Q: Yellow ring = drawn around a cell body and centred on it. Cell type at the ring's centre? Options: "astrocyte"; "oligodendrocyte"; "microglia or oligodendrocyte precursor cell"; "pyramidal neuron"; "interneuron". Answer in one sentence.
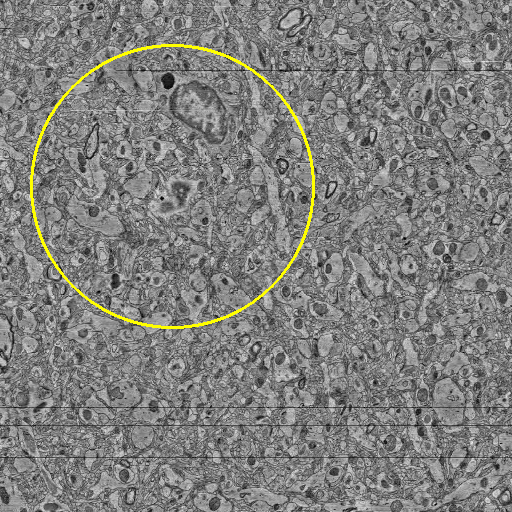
Centred in the ring is a microglial cell or oligodendrocyte precursor cell.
